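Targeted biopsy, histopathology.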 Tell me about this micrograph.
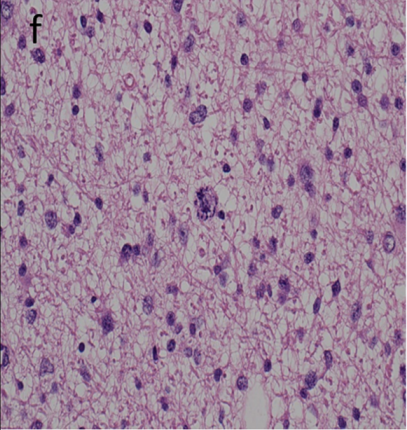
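This section shows a glial tumour made of moderately atypical astrocytic cells scattered in a fibrillary background. The background is a loose, fine pink meshwork of thin fibres with many small clear spaces, giving a net-like look. The cells lie singly and fairly evenly spread, with round to oval purple nuclei that vary in size and darkness, and only scant cytoplasm can be made out around them. Near the centre one cell stands out with coarsely clumped, very dark chromatin in an irregular cluster, unlike the quieter nuclei around it, in keeping with an abnormal mitosis. No orderly layering or normal brain architecture is seen.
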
